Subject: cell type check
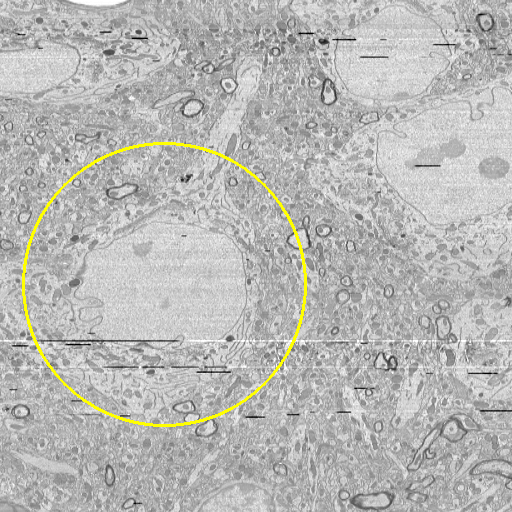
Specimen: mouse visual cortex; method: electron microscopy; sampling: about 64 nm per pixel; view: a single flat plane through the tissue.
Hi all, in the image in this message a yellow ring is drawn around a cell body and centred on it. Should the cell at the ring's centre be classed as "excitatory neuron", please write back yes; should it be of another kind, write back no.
yes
